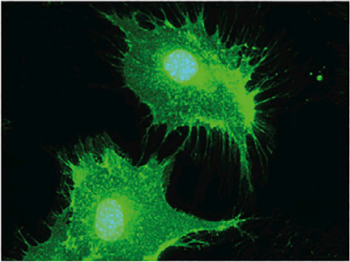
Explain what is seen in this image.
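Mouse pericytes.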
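Two large, flat, spread-out cultured cells fill the field, each with a single oval cyan nucleus and a broad cytoplasm filled with fine granular green fluorescence. Their margins are ruffled and drawn out into many thin, spiky projections.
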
